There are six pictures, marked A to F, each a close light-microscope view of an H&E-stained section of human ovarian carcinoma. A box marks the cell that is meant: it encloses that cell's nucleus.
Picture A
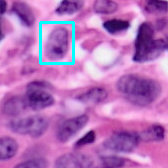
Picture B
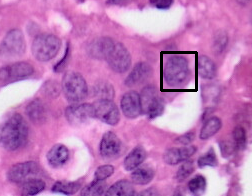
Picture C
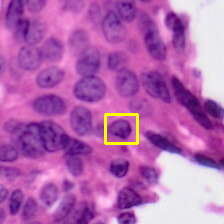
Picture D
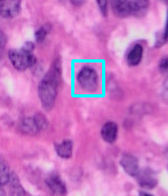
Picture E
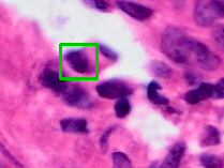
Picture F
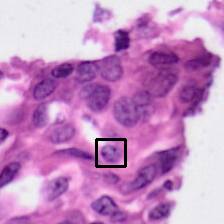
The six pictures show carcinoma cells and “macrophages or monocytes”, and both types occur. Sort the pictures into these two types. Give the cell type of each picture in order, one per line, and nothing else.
macrophage or monocyte
carcinoma cell
macrophage or monocyte
macrophage or monocyte
carcinoma cell
macrophage or monocyte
